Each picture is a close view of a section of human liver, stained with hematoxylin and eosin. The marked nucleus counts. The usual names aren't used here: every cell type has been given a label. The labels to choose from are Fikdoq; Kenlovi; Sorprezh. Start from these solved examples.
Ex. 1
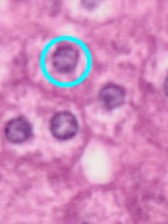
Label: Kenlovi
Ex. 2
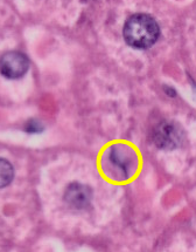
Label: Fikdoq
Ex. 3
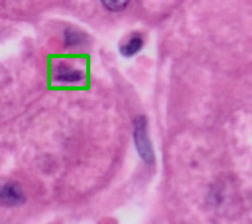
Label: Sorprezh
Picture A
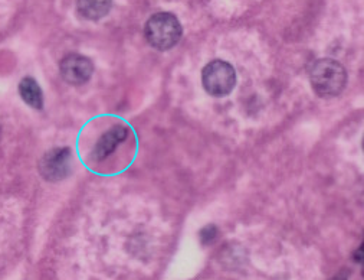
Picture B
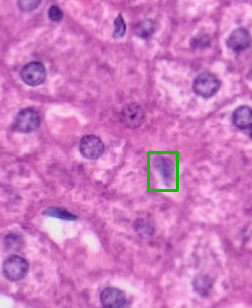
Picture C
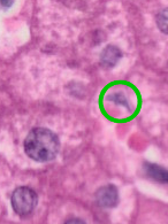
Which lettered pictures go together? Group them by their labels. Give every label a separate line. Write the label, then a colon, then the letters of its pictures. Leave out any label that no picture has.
Fikdoq: B, C
Sorprezh: A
